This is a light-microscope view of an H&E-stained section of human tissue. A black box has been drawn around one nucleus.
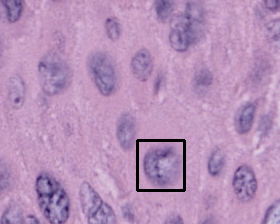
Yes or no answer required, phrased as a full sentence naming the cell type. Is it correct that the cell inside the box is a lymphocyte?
No, the cell inside the box is a squamous carcinoma cell instead of a lymphocyte.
